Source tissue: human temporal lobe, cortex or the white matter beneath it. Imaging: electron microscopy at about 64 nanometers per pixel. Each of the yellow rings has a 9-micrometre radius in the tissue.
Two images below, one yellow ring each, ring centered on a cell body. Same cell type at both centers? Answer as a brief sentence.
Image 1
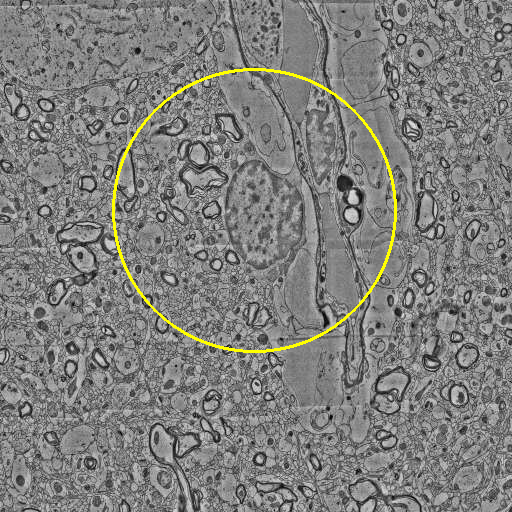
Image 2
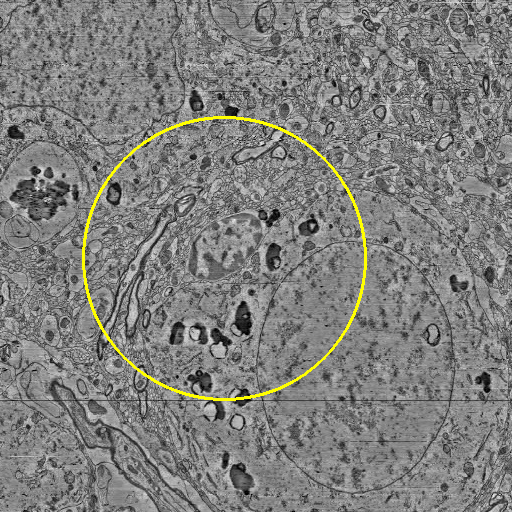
No, the cells are of two separate types.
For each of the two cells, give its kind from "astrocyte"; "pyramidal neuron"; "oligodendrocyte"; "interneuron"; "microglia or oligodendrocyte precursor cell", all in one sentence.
The first picture has an oligodendrocyte in its ring, the second has a microglial cell or oligodendrocyte precursor cell.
